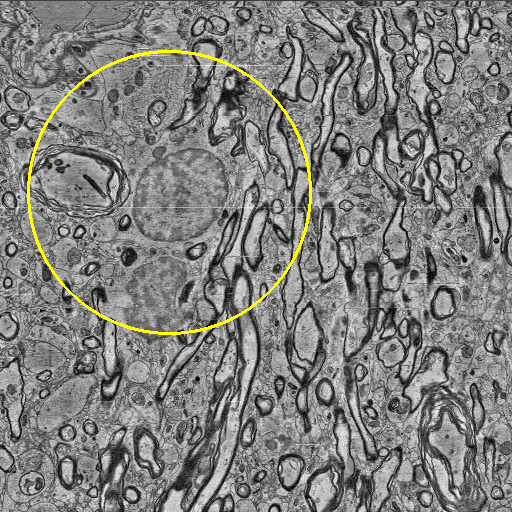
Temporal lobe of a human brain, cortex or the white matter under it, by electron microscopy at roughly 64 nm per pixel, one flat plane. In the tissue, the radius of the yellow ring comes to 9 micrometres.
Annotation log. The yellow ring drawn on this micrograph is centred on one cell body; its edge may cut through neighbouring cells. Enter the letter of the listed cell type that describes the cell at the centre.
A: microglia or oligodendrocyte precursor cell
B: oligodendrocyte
B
